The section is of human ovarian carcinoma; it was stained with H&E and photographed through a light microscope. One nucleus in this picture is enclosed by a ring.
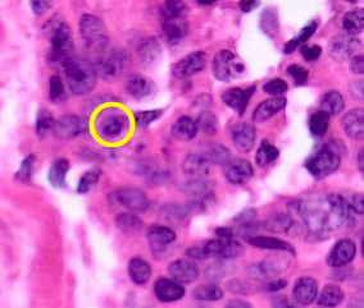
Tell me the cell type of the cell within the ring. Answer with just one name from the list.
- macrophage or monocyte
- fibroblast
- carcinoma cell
macrophage or monocyte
